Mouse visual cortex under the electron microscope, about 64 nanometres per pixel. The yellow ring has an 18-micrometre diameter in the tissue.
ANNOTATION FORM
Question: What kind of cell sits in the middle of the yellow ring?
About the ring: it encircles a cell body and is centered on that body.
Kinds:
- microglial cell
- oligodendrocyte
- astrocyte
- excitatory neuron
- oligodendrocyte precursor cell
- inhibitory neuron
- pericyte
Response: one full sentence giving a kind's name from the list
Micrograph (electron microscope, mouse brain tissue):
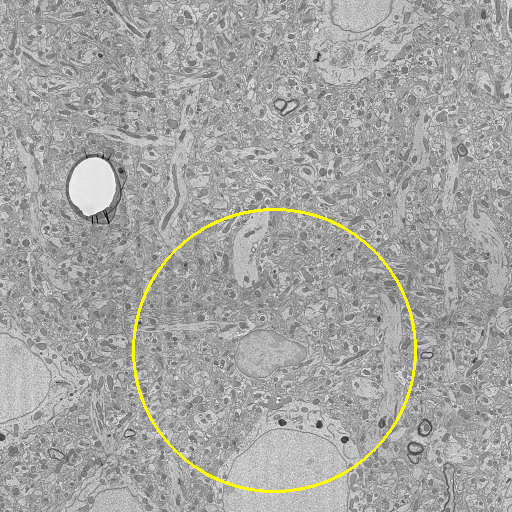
The kind of cell found at the center of the yellow ring in the micrograph is a microglial cell.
